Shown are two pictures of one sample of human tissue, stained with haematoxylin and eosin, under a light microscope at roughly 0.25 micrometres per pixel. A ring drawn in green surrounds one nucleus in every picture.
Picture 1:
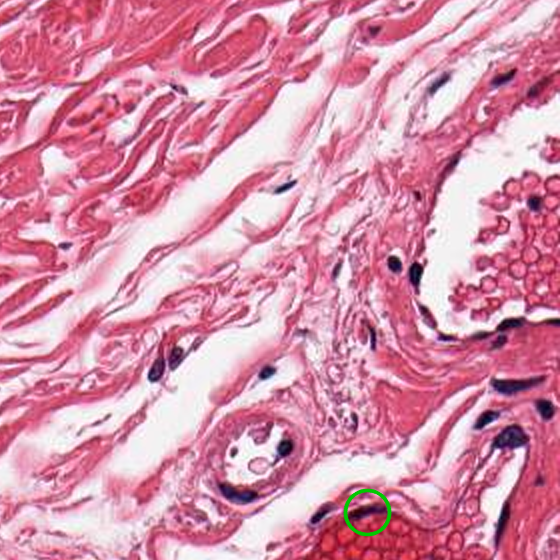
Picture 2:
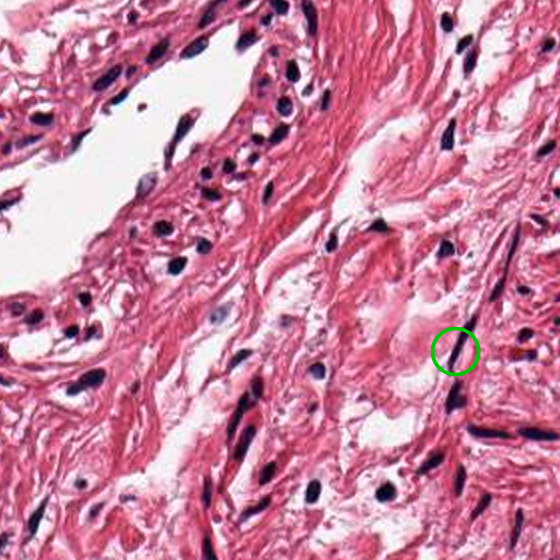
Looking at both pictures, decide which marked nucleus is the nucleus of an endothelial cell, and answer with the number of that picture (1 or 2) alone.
1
